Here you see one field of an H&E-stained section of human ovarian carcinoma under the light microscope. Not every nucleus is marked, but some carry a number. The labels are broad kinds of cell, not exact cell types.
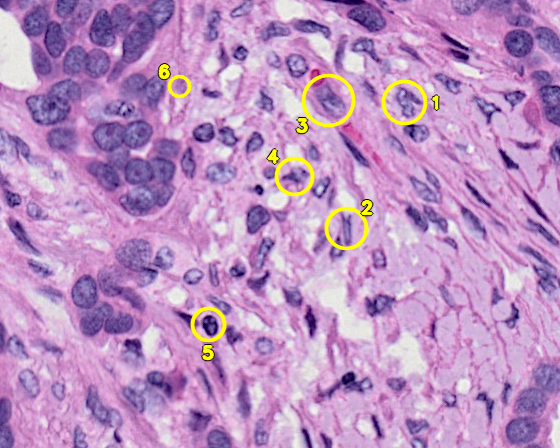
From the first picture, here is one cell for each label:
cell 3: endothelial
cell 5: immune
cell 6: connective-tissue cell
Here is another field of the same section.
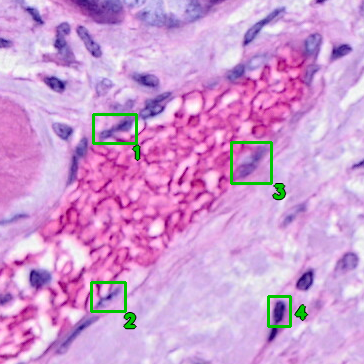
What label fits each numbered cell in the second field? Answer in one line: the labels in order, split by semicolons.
endothelial; endothelial; endothelial; immune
